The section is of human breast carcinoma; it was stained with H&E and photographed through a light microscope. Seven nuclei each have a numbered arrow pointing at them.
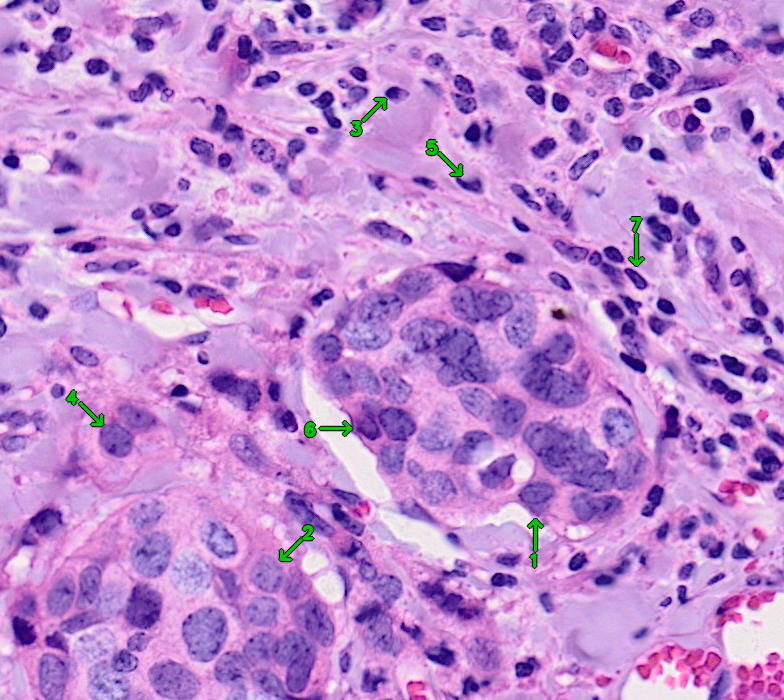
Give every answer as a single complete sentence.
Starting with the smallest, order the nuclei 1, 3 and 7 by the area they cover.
From smallest to largest, the order is 3, 7, 1.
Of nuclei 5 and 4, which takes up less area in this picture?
It is nucleus 5; nucleus 4 has about 2.5 times its area.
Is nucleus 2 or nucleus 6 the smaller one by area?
Nucleus 6 covers less area, with nucleus 2 about 2 times as large.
